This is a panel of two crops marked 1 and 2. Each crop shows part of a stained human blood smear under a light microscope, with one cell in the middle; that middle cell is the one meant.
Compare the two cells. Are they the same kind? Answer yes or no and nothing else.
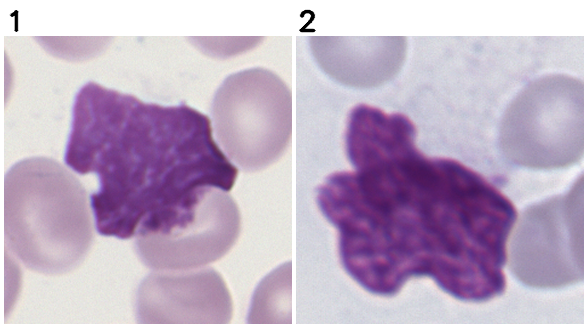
yes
